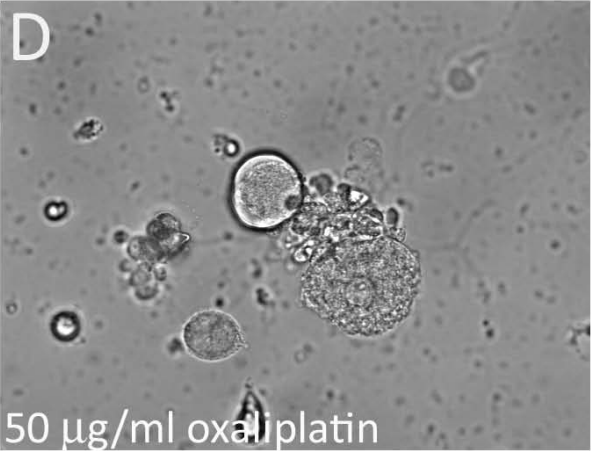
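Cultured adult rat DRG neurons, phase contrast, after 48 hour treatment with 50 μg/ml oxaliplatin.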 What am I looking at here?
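One cell body has a bright, thick rim, while a larger one beside it has a coarse, granular surface, and a clump of irregular fragments lies between them. The dense network of neurites is absent, and many small dark particles of debris are scattered across the field.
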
